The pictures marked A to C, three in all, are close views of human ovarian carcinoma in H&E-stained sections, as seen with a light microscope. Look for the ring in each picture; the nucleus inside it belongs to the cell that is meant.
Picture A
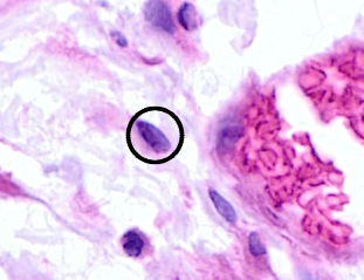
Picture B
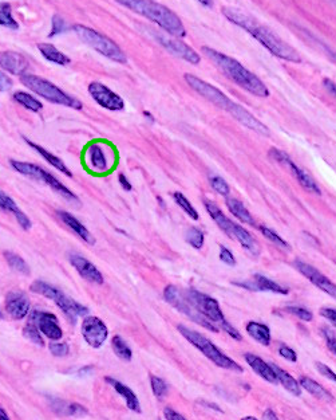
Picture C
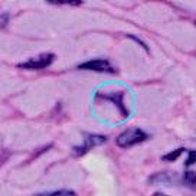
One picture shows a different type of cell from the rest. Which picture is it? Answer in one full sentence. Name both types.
Picture B differs, because its cell is a smooth muscle cell and the rest are fibroblasts.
